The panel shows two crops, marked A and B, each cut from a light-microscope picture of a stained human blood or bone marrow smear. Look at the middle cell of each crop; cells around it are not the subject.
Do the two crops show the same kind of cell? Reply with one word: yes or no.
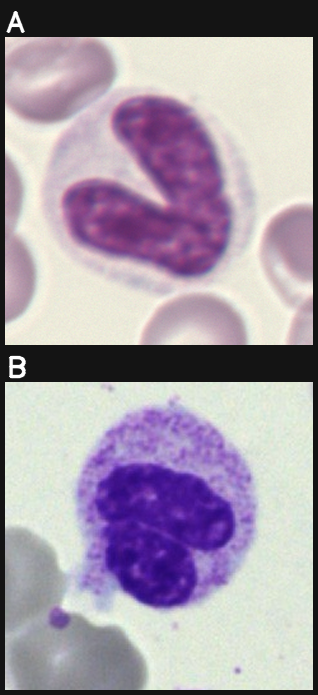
yes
